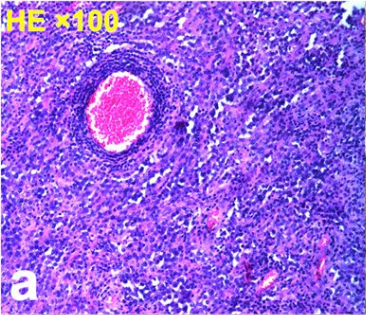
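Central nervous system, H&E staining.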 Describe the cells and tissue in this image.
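Brain parenchyma densely and diffusely infiltrated by discohesive tumor cells. The cells are small to medium, round, with dark hyperchromatic nuclei and scant cytoplasm. The surrounding tissue shows sheets of these cells with little intervening pink neuropil. Small vessels are scattered in the lower right.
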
